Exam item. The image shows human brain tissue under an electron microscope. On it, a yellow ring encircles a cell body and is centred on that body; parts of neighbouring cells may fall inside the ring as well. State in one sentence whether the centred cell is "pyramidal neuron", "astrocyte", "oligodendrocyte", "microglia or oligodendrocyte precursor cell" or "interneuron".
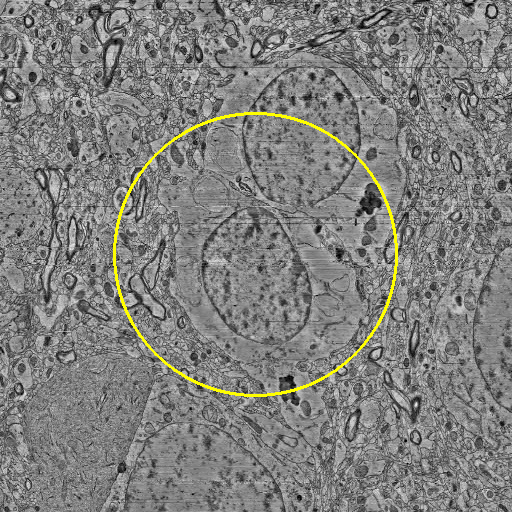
The cell body centred in the ring is an astrocyte.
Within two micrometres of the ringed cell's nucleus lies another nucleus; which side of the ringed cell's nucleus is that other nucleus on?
The second nucleus lies above it.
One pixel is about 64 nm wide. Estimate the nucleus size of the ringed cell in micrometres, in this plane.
The nucleus works out at approximately 9 by 6 micrometres in this plane.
